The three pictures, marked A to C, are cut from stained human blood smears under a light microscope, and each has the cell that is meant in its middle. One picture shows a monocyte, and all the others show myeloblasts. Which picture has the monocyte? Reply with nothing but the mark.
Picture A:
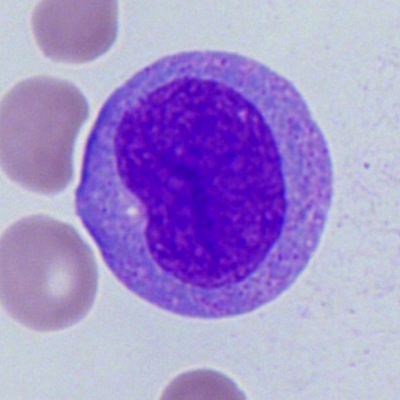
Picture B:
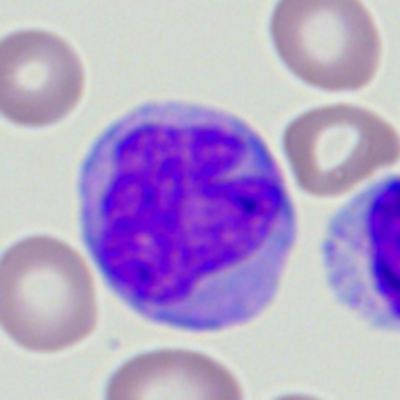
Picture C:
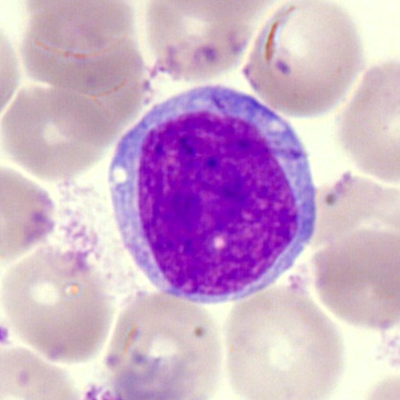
B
